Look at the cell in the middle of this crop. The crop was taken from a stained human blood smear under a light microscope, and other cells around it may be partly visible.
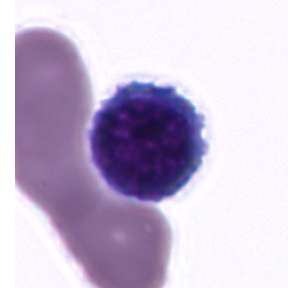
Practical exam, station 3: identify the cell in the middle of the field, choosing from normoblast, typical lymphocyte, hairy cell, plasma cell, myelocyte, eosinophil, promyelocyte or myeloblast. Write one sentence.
Within this crop, a plasma cell occupies the central position.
